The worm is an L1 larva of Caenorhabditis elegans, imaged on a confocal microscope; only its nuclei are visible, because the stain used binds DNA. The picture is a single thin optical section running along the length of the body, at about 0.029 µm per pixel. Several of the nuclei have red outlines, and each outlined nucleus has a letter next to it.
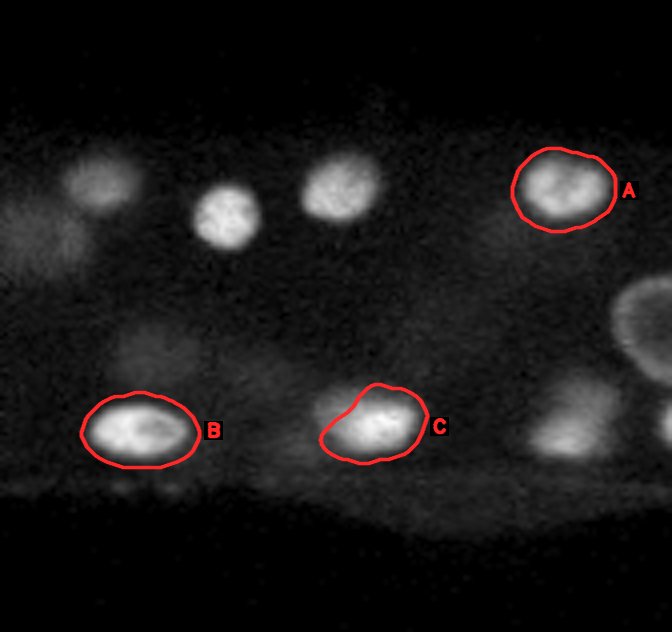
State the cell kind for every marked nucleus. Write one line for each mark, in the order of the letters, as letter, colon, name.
A: body wall muscle cell
B: body wall muscle cell
C: coelomocyte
